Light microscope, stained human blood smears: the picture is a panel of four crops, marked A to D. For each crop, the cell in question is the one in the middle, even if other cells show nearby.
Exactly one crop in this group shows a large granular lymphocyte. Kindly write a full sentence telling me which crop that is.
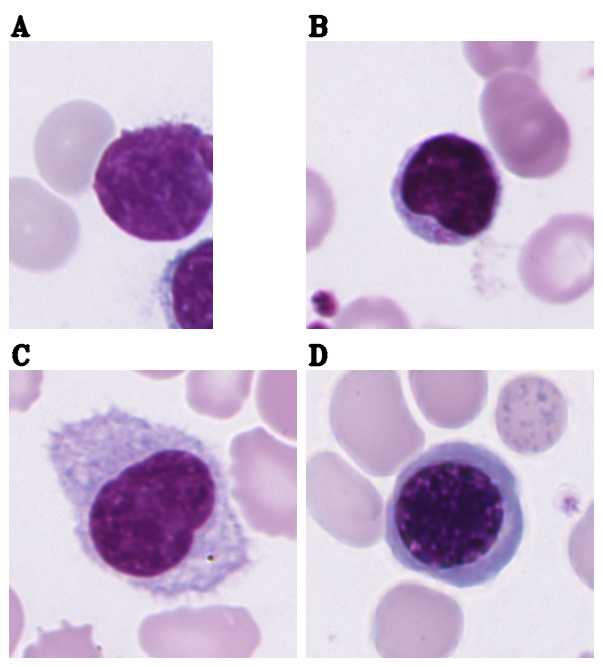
Only in crop B is a large granular lymphocyte shown.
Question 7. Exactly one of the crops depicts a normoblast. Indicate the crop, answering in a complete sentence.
The crop marked D is the one that shows a normoblast.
